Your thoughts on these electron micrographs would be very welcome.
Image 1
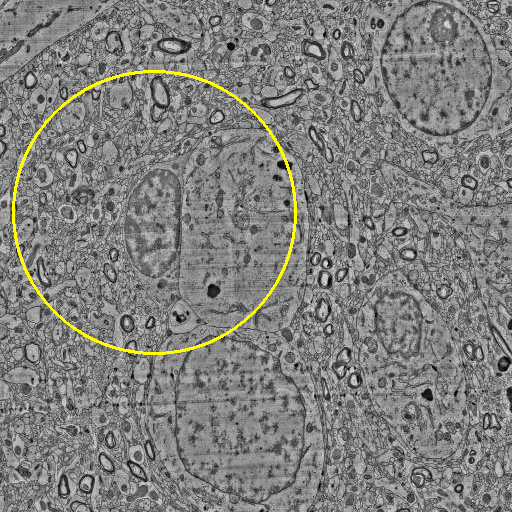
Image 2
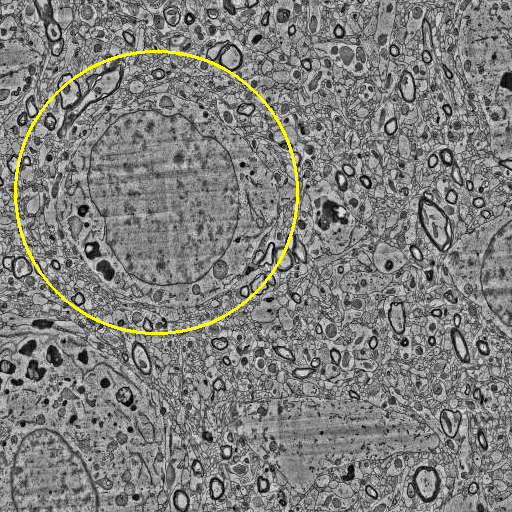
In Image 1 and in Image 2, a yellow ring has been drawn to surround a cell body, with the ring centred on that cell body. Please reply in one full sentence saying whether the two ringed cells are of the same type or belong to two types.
The ringed cells in Image 1 and Image 2 belong to two types.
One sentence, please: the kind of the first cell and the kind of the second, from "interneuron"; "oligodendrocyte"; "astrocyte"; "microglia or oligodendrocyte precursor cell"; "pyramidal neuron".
The ring in the first picture surrounds an oligodendrocyte, and the ring in the second surrounds a pyramidal neuron.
